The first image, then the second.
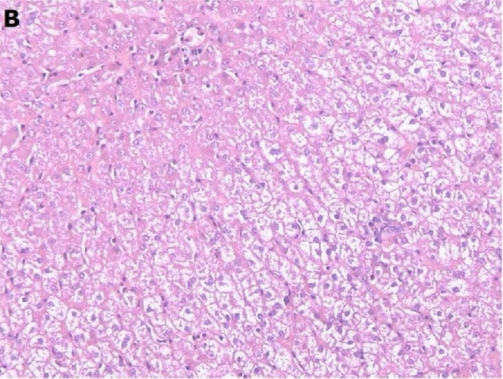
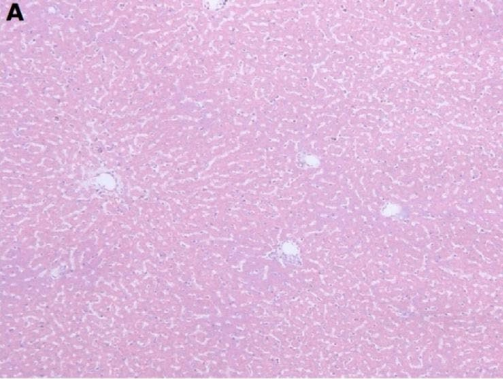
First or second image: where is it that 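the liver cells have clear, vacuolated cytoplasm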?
The first image.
